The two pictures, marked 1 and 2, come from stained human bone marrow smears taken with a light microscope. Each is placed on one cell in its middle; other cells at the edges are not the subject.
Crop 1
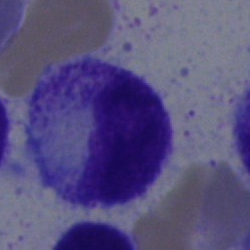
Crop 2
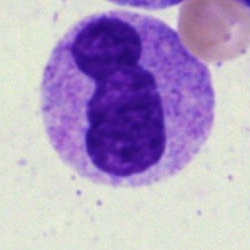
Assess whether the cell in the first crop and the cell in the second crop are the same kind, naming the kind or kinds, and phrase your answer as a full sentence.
No, crop 1 captures a metamyelocyte; meanwhile crop 2 captures a band neutrophil.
